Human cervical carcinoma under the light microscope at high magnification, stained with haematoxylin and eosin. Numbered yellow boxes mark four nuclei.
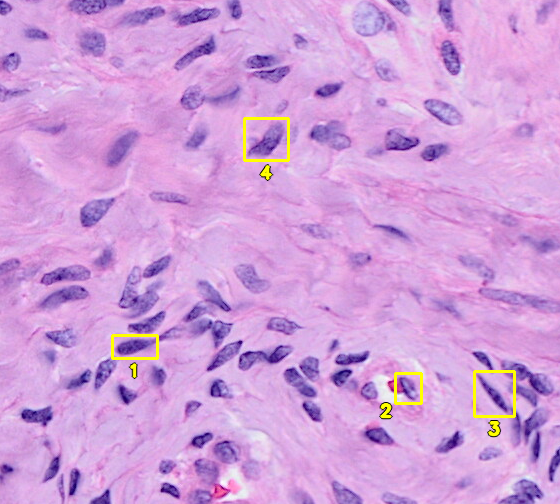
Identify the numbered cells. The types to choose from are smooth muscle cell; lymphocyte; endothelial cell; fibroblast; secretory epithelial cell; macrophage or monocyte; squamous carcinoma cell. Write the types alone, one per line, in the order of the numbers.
fibroblast
endothelial cell
fibroblast
fibroblast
